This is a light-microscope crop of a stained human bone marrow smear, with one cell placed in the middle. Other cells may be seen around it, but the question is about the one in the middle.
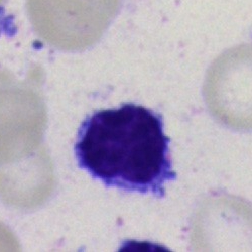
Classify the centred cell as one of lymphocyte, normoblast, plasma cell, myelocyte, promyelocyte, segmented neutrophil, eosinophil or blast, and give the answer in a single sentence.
The cell marked by its central position in the crop is a lymphocyte.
